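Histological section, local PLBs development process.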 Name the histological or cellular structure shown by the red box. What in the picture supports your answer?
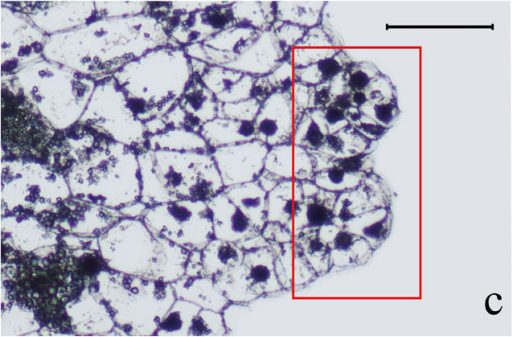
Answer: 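The box encloses a small bulge at the edge of the tissue. The bulge is made of small cells with large, dark nuclei. On this evidence: a small protuberance.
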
